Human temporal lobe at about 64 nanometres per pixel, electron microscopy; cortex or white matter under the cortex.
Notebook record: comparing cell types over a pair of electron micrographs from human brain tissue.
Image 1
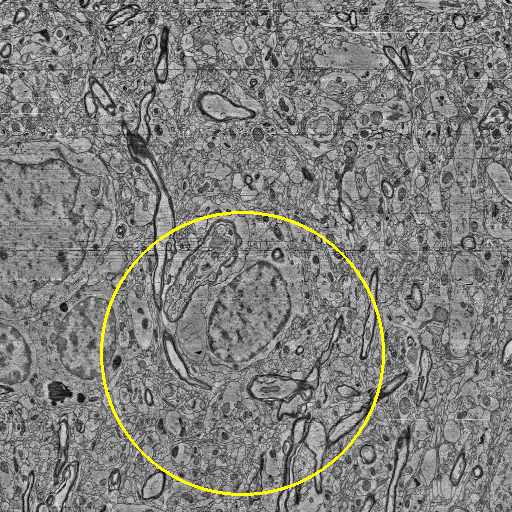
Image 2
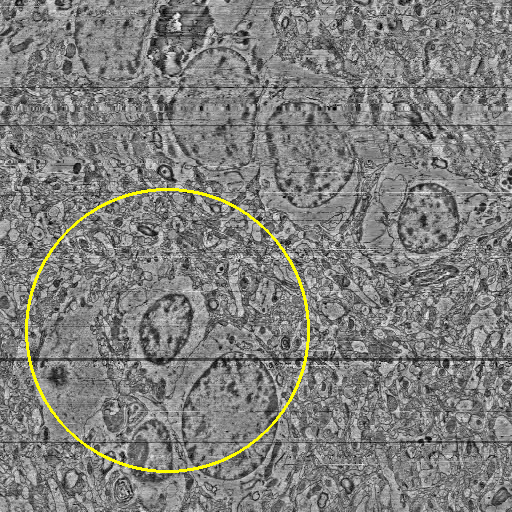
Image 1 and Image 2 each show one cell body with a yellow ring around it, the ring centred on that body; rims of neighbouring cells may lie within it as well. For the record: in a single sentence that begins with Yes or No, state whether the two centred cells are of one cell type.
No, two cell types are found among the centred cells of Image 1 and Image 2.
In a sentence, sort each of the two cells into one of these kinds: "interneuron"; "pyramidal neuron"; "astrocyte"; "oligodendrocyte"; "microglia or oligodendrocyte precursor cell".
The first of the two cells is a microglial cell or oligodendrocyte precursor cell, and the second is an astrocyte.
